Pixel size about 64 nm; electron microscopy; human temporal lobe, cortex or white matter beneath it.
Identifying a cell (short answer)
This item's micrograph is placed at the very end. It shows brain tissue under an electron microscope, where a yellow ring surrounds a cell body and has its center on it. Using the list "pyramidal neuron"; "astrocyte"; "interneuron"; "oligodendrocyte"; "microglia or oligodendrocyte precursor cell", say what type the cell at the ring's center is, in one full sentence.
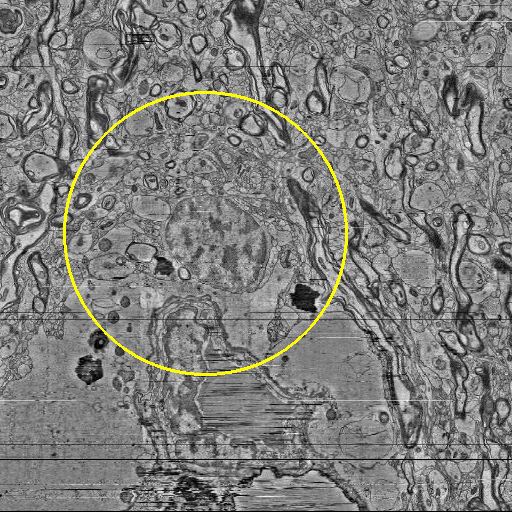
This picture shows an oligodendrocyte at the center of the yellow ring drawn on it.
